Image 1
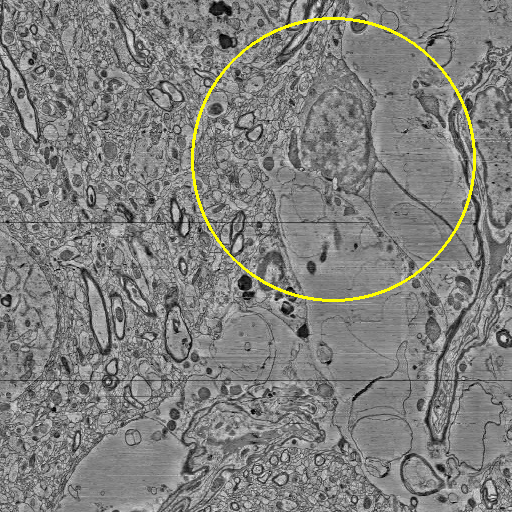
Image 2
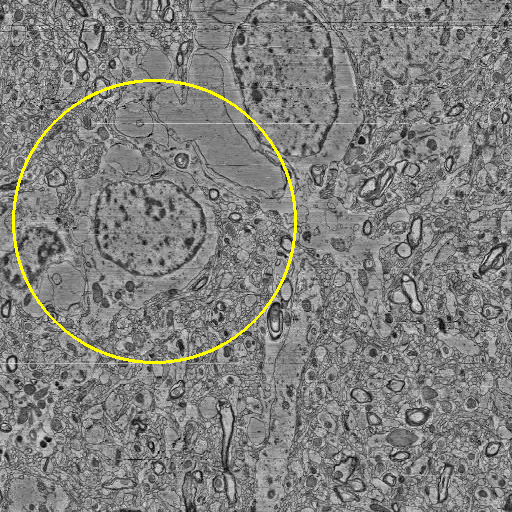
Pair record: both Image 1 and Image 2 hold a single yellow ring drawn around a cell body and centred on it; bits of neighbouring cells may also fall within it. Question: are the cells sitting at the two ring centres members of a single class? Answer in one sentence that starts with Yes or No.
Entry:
No, the ring-centre cells in Image 1 and Image 2 come from two classes.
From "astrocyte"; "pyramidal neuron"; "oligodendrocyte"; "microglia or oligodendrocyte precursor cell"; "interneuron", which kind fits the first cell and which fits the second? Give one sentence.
The cell marked in the first picture is an oligodendrocyte, and the one marked in the second is an astrocyte.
